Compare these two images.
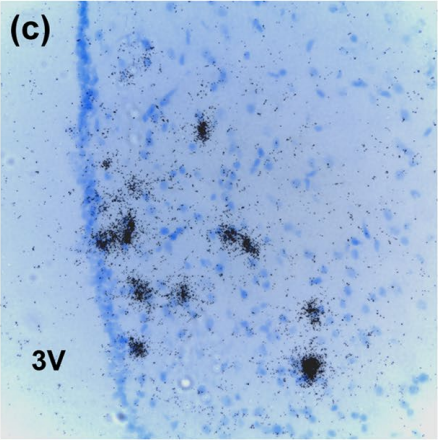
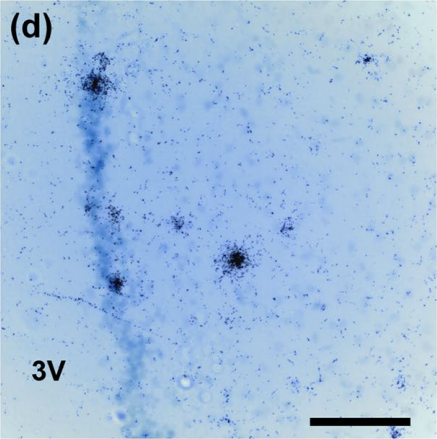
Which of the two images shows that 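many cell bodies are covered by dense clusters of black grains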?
the first image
